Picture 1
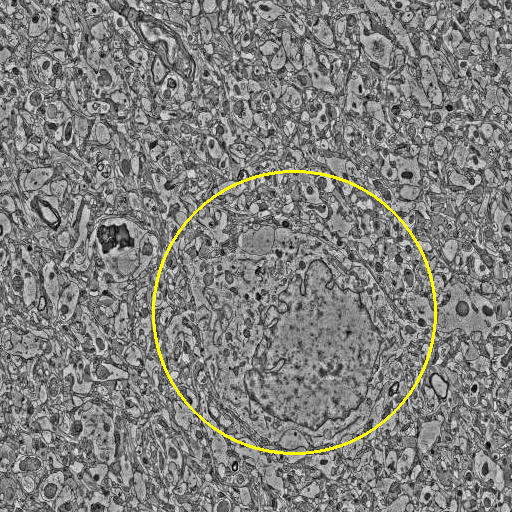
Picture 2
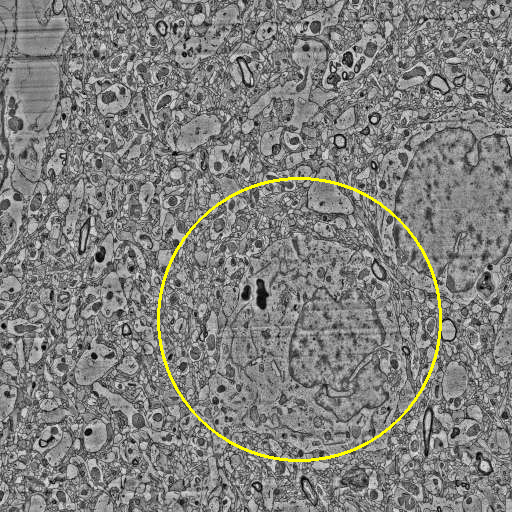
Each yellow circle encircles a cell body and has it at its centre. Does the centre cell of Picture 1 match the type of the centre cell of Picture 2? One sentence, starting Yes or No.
Yes, the cell centred in Picture 1 and the one in Picture 2 share a type.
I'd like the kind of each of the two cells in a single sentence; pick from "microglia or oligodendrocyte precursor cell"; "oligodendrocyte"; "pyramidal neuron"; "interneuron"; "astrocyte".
Each of the two rings is centred on an interneuron.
